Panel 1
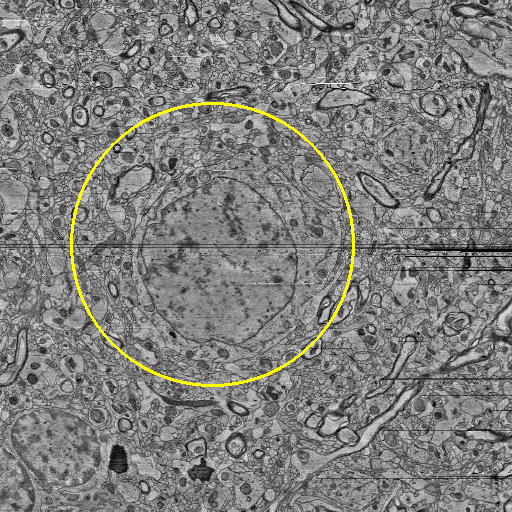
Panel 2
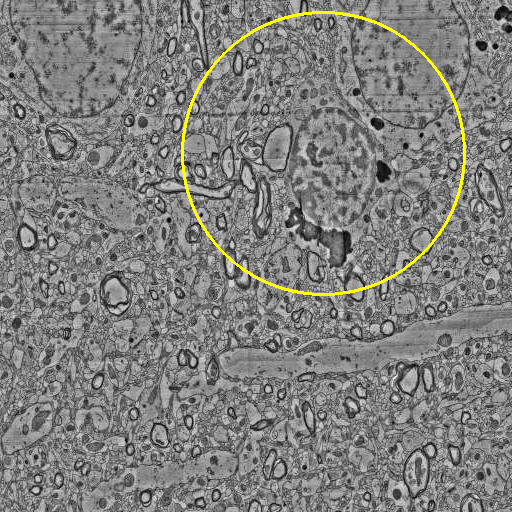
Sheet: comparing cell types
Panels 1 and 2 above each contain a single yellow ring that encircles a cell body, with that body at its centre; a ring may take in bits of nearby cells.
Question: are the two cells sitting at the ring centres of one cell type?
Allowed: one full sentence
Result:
No, the ring-centre cells in Panel 1 and Panel 2 are of two types.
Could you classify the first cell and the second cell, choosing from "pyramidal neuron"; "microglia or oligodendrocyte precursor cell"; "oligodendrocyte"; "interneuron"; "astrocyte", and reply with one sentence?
The second cell is an oligodendrocyte, while the first is a pyramidal neuron.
